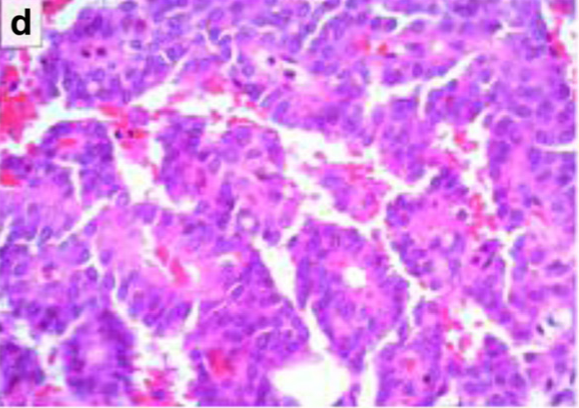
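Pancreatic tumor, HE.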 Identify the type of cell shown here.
Small and uniform cells with oval nuclei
